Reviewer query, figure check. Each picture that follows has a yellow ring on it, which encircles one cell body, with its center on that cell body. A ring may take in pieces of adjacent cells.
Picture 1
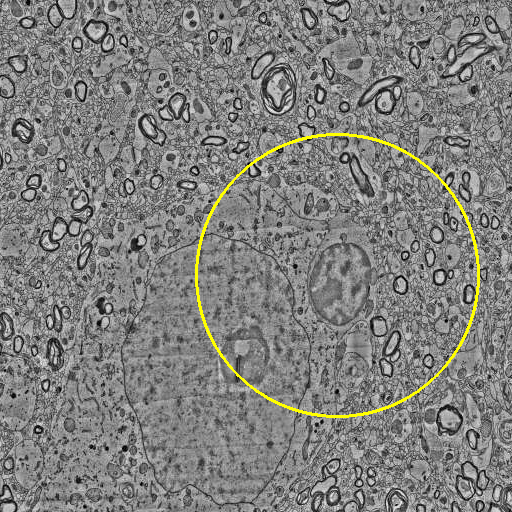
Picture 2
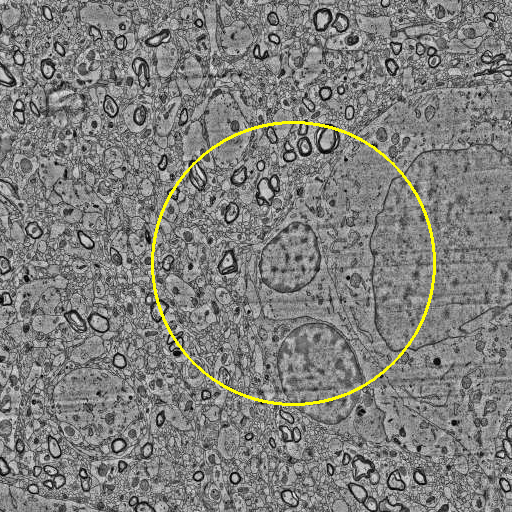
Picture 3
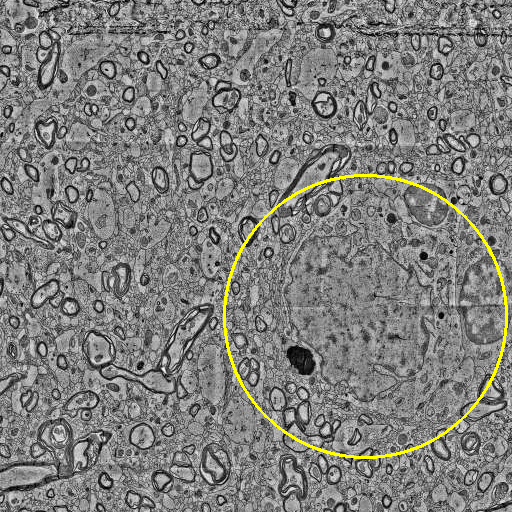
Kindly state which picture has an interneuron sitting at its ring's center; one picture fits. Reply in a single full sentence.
In picture 3, the cell at the center of the ring is the requested one.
